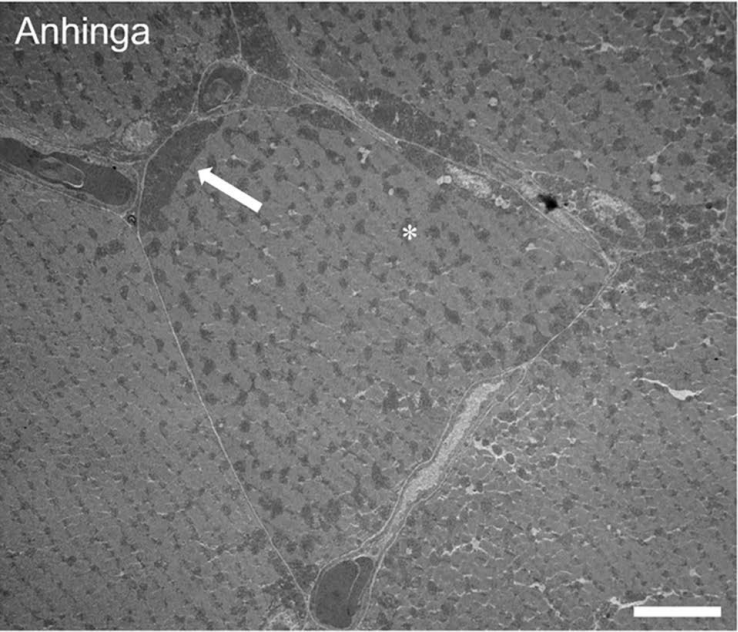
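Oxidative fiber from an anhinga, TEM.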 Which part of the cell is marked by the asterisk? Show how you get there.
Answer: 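Intermyofibrillar. Many small dark profiles are scattered among the paler myofibril cross-sections. The asterisk lies in the interior of the fiber.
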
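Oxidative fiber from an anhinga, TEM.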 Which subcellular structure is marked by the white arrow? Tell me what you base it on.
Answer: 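The arrow points to an elongated dark cluster lying at the fiber's border. The cluster lies along the boundary membrane next to a neighbouring fiber.
Subsarcolemmal.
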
